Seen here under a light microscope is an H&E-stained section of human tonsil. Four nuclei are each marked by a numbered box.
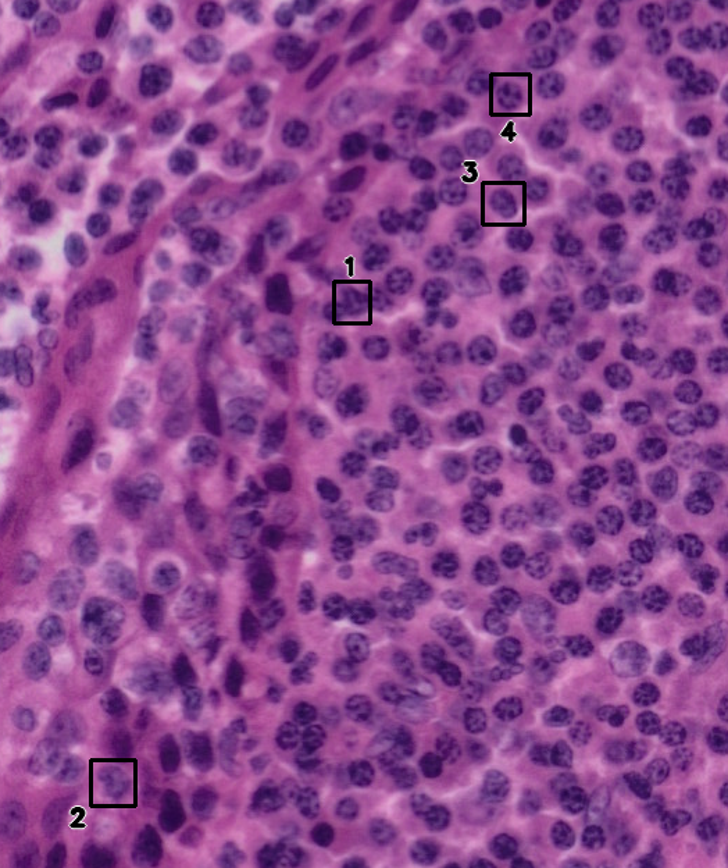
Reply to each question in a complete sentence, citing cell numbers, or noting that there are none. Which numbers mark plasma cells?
The cells numbered 1, 3 and 4 are of the kind known as plasma cells.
